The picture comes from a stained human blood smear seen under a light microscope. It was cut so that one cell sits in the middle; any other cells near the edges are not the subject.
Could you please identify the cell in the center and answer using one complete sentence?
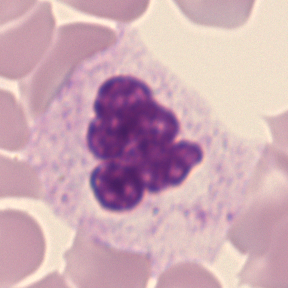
The middle cell in this particular crop is a segmented neutrophil.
